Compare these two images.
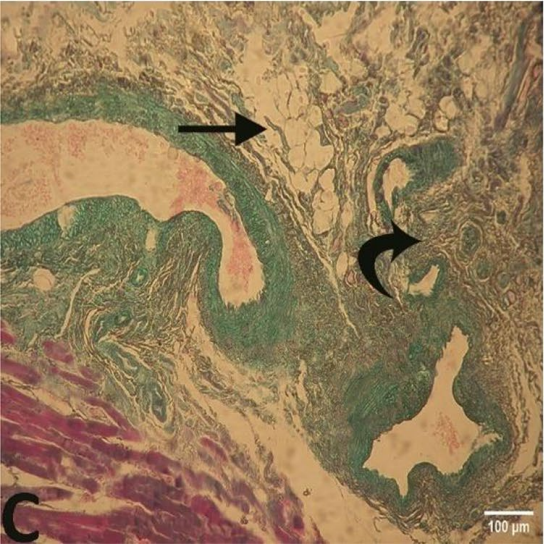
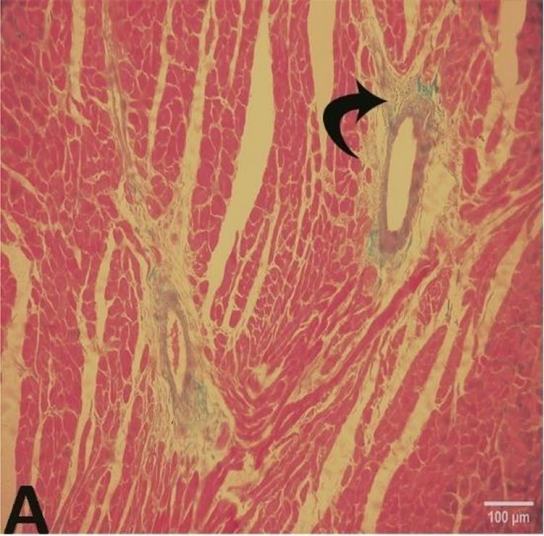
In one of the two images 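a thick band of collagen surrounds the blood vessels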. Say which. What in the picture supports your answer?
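Second image: only a thin greenish rim lies around the vessel among red muscle. First image: broad green bands wrap around several vessels.
Conclusion: the first image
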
